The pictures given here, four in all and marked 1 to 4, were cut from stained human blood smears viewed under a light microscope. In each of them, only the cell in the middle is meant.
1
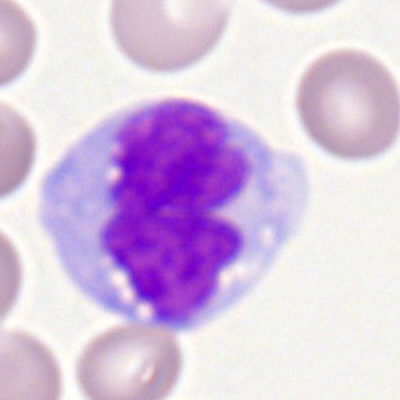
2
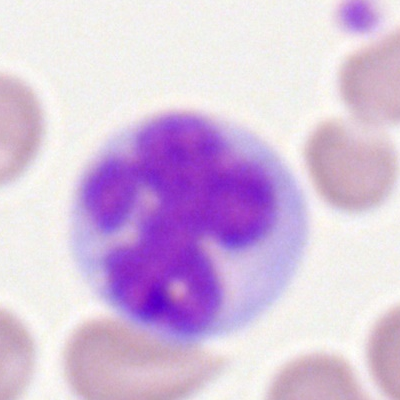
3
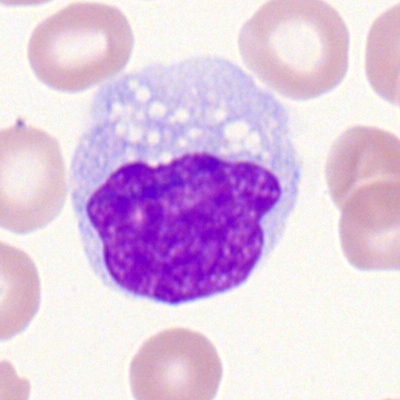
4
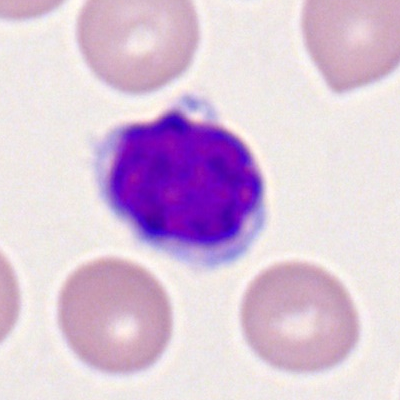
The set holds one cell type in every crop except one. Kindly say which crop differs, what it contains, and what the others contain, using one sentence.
Of the crops, all show monocytes save crop 4, which shows a lymphocyte.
